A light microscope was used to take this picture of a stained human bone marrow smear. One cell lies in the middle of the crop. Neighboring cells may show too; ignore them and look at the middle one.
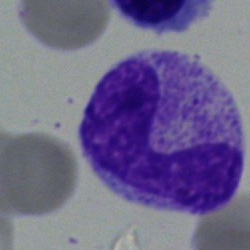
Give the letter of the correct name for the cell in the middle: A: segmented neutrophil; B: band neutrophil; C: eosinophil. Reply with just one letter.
B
